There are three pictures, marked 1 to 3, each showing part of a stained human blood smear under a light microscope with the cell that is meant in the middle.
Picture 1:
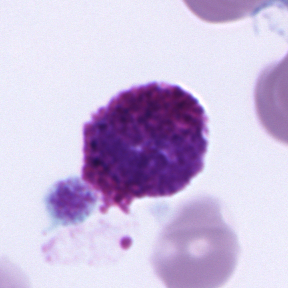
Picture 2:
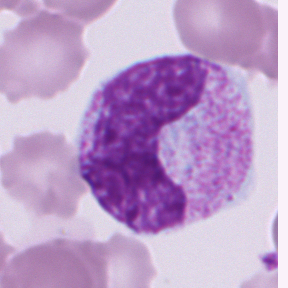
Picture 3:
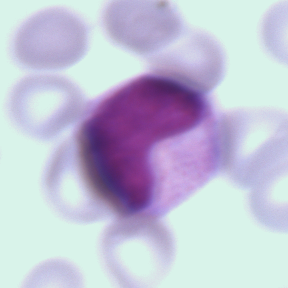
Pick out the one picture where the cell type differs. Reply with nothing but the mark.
1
